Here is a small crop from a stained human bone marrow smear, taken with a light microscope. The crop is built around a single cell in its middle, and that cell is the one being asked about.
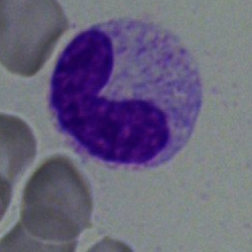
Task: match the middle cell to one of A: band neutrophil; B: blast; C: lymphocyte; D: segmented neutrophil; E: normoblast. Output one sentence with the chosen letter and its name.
In the centre of the crop there is a band neutrophil, making option A correct.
